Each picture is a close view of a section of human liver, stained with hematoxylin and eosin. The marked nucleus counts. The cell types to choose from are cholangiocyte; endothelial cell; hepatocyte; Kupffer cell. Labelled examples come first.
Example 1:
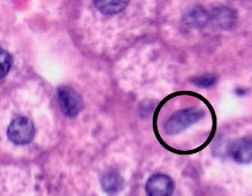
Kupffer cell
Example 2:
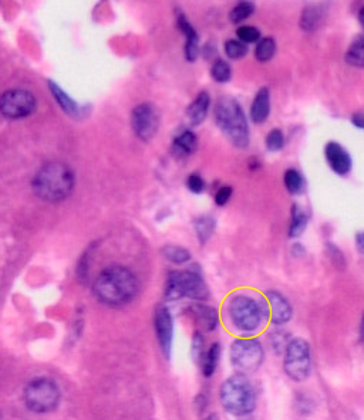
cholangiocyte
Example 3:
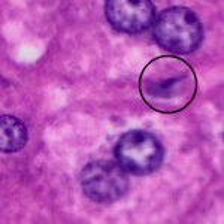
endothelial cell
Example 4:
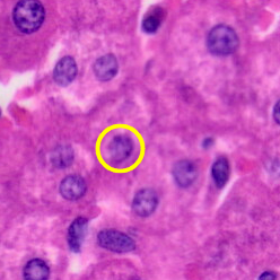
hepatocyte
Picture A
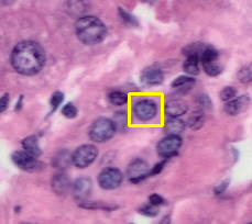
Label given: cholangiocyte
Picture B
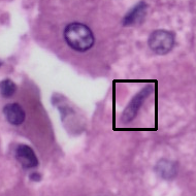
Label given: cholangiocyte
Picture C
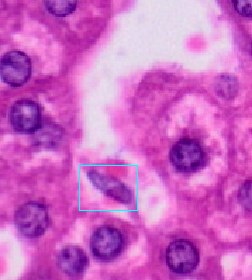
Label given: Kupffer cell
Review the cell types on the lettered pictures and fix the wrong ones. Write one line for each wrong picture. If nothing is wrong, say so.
B: not cholangiocyte but Kupffer cell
